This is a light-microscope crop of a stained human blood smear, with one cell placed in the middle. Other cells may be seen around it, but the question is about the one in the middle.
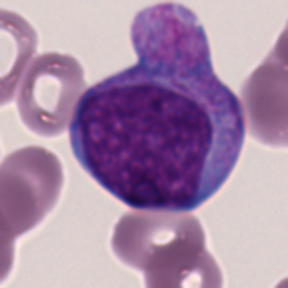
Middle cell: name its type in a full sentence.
As for the central cell, it is an atypical promyelocyte.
